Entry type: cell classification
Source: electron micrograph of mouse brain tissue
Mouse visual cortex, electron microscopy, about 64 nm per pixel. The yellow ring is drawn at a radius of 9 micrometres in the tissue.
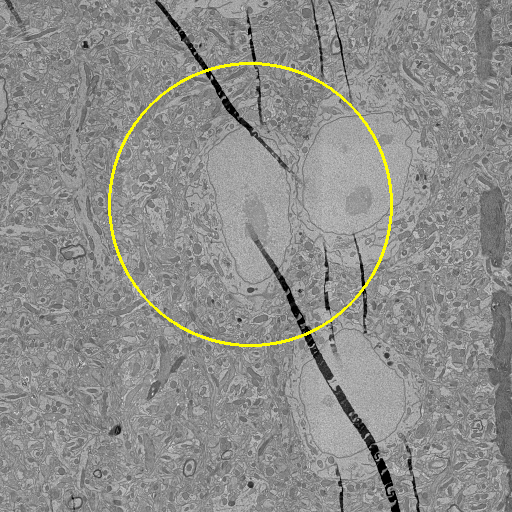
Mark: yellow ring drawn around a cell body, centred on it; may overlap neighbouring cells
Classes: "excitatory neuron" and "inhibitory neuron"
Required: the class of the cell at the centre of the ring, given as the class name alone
inhibitory neuron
